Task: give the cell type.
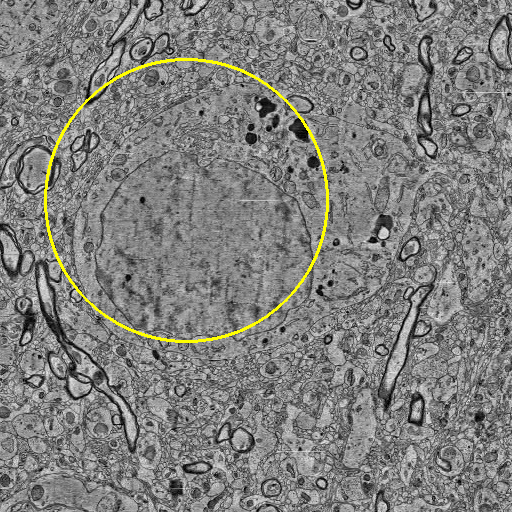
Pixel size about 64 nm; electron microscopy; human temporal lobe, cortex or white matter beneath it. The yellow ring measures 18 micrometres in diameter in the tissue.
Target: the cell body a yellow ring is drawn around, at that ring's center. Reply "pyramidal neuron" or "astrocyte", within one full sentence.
In this picture, the cell whose body lies at the ring's center is a pyramidal neuron.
